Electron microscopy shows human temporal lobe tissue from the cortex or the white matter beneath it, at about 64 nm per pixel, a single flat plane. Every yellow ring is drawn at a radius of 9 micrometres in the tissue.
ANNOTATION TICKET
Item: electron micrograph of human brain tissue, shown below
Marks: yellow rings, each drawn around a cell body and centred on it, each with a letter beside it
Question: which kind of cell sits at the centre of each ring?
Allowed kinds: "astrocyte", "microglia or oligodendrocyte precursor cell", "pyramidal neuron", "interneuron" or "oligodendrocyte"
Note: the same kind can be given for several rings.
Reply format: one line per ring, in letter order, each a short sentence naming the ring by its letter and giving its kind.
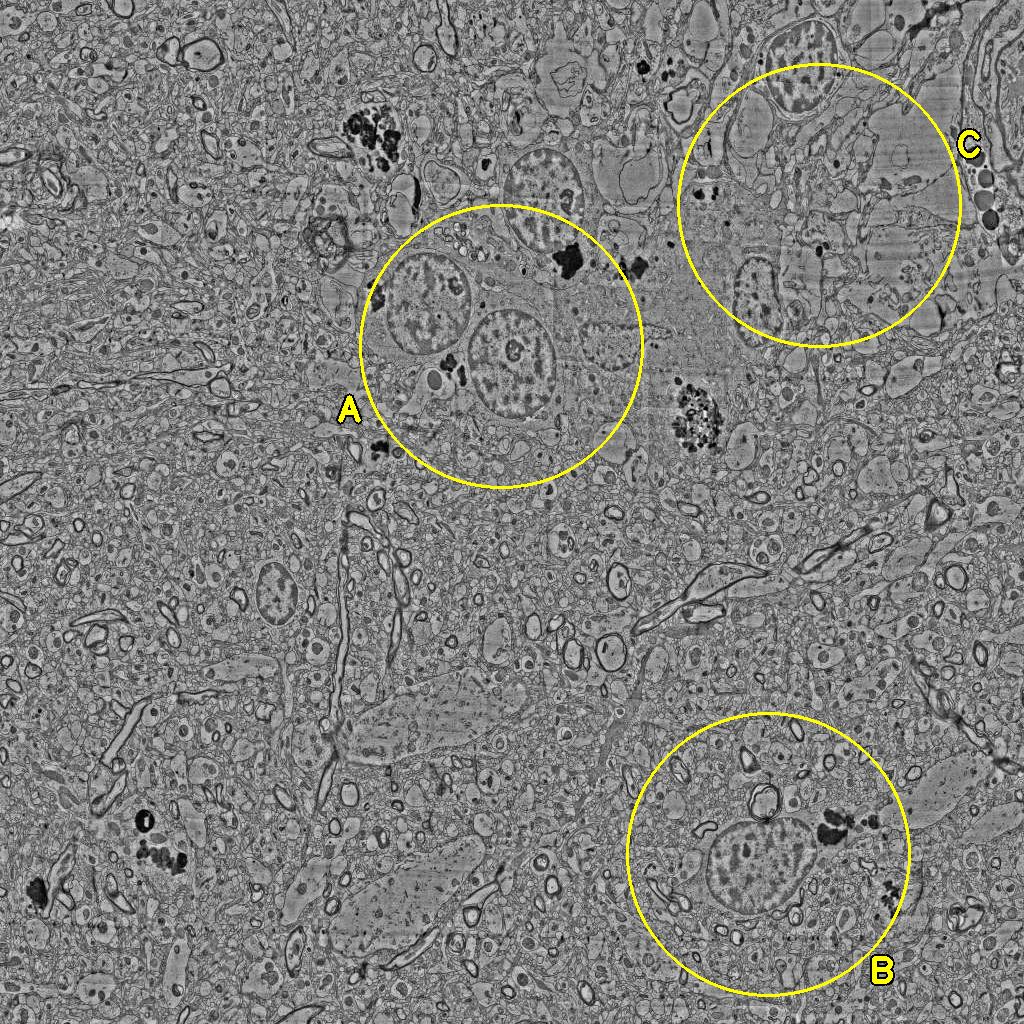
The cell at the centre of ring A is an oligodendrocyte.
The cell at the centre of ring B is an oligodendrocyte.
The cell at the centre of ring C is a microglial cell or oligodendrocyte precursor cell.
